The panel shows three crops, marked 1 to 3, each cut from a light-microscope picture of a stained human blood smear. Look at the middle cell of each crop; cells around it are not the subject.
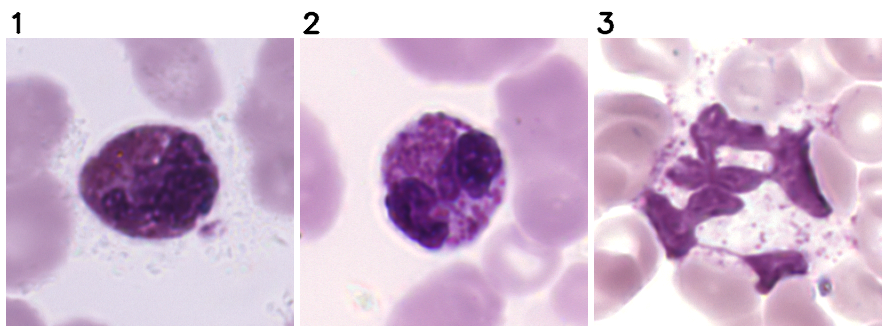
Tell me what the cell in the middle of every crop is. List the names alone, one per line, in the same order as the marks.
eosinophil
eosinophil
segmented neutrophil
